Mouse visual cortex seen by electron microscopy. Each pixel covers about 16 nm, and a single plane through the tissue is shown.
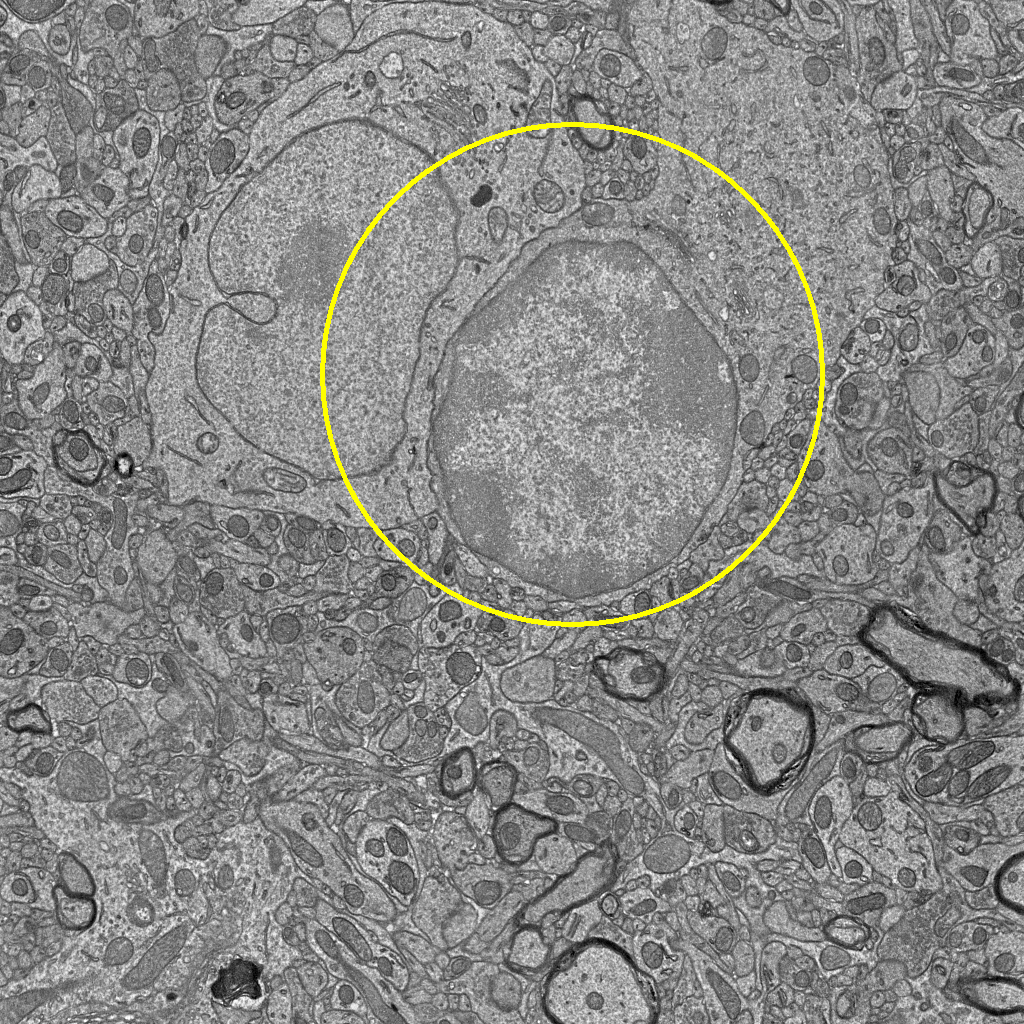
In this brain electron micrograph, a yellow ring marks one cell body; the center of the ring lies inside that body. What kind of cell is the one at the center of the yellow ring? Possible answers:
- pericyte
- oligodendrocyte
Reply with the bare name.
oligodendrocyte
